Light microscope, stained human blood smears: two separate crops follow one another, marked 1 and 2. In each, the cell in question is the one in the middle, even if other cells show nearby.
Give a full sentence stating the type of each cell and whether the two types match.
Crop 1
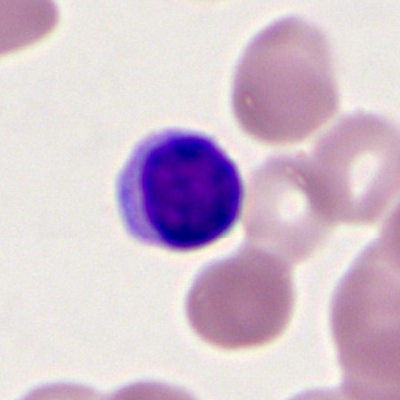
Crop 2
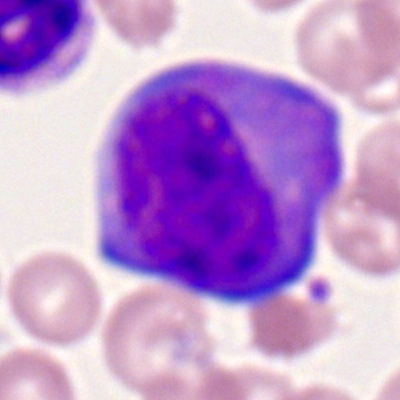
No, crop 1 displays a lymphocyte, and crop 2 displays a myeloblast.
